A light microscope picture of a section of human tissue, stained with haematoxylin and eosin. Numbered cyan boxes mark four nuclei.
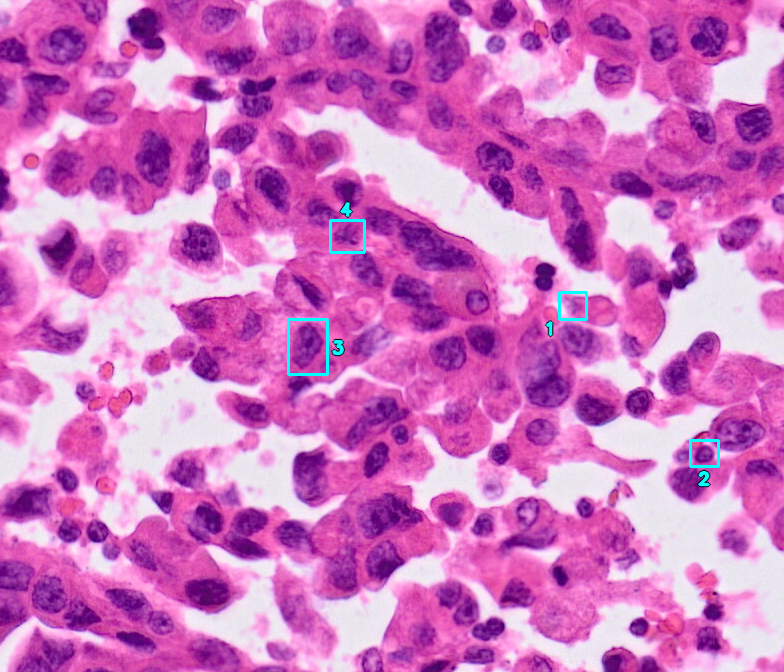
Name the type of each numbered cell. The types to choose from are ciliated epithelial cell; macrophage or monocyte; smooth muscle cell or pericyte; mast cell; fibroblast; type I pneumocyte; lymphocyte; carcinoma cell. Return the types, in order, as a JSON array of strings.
["carcinoma cell", "lymphocyte", "carcinoma cell", "carcinoma cell"]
